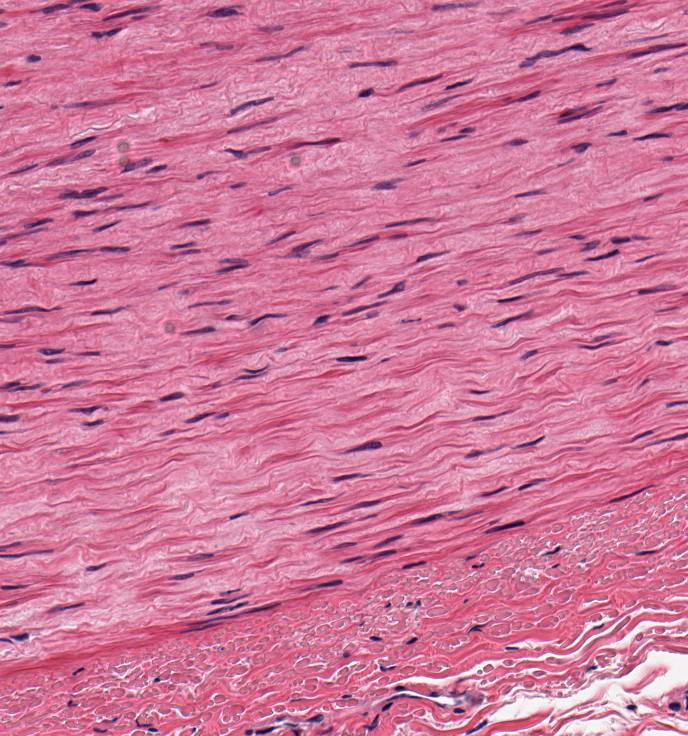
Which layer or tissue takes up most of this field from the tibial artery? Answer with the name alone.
tunica media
